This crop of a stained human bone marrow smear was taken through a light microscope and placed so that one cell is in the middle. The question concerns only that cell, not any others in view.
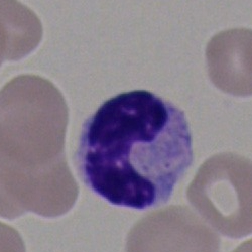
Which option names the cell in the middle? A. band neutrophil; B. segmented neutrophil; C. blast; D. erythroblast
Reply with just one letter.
B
